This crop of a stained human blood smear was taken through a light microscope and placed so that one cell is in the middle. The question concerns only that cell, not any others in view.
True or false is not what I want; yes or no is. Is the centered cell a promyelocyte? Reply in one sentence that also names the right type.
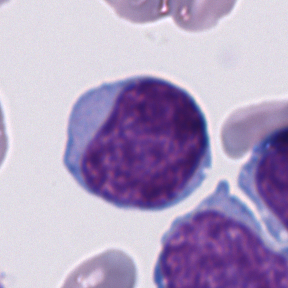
No, the central cell does not represent a promyelocyte, but a blast.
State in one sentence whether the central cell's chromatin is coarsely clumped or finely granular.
The key point is fine chromatin with no coarse clumps.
